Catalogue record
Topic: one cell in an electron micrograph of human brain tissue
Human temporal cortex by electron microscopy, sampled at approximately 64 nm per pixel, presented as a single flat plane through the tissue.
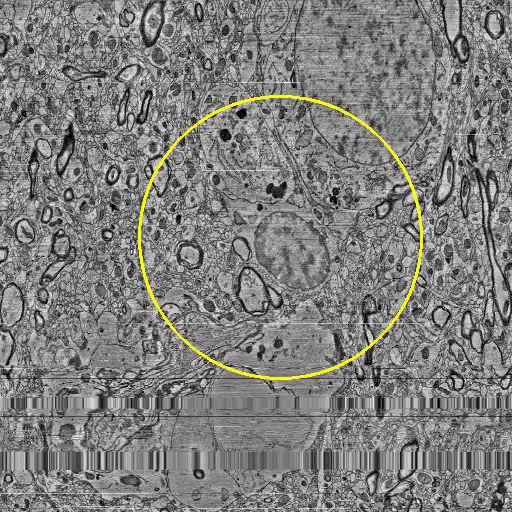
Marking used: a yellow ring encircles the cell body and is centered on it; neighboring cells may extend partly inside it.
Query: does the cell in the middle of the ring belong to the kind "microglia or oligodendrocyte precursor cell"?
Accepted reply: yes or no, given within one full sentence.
No, the cell centered in the ring in the picture is of another kind.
